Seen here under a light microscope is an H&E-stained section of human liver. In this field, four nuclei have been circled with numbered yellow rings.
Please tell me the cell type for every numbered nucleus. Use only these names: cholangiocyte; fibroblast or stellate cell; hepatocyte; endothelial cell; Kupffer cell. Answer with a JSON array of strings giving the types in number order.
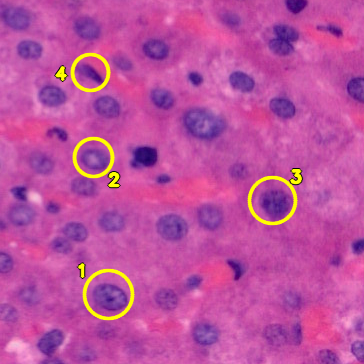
["hepatocyte", "hepatocyte", "hepatocyte", "endothelial cell"]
